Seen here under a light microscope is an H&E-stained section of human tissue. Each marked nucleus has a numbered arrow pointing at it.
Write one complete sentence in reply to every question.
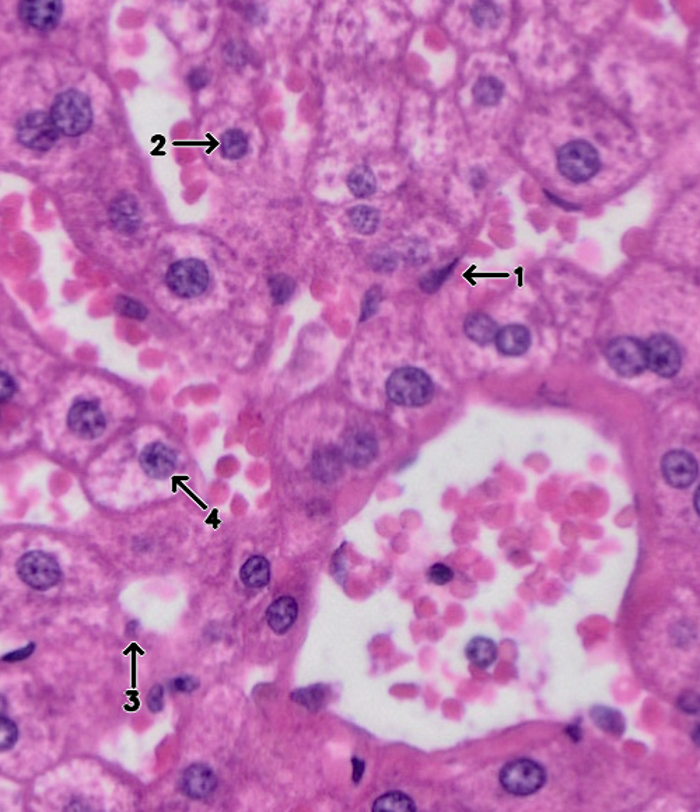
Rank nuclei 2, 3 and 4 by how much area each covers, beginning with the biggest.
Largest first, the order by area is 4, 2, 3.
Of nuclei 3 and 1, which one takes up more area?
At about 2 times the area of nucleus 3, nucleus 1 is the larger of the two.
